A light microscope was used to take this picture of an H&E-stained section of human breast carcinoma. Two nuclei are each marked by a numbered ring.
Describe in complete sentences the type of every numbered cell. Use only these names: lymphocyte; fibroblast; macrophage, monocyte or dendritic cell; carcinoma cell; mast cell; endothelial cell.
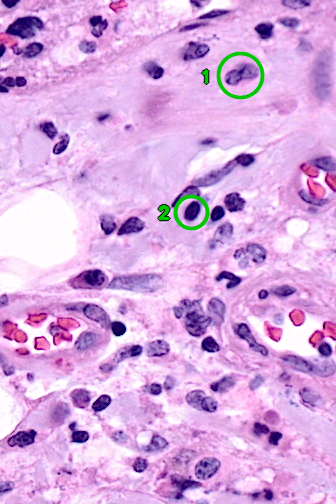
Cell 1 is a mast cell and cell 2 is a lymphocyte.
